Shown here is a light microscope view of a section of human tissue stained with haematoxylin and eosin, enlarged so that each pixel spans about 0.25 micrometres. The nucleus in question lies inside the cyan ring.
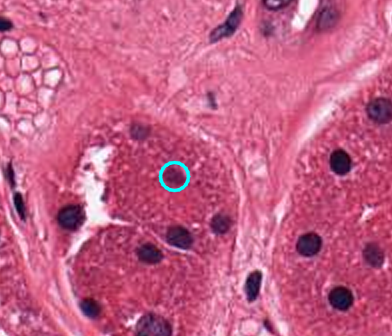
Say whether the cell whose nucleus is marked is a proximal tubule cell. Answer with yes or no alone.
yes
